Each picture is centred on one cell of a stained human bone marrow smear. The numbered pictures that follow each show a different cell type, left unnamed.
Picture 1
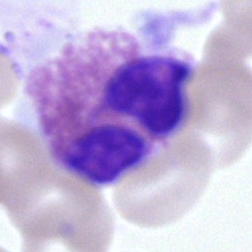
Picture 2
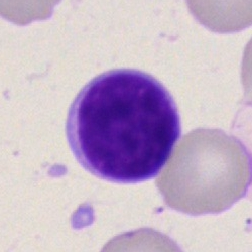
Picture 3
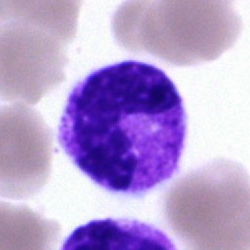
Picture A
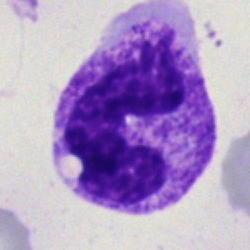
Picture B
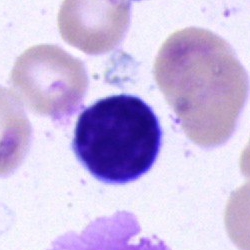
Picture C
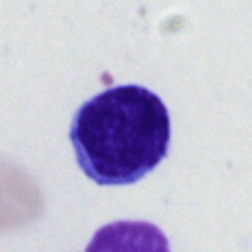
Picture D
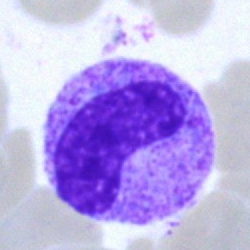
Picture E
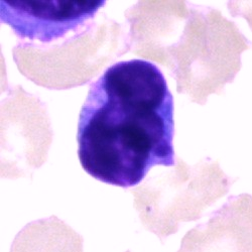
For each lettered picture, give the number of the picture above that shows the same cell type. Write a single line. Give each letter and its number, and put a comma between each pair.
A 3, B 2, C 2, D 3, E 2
